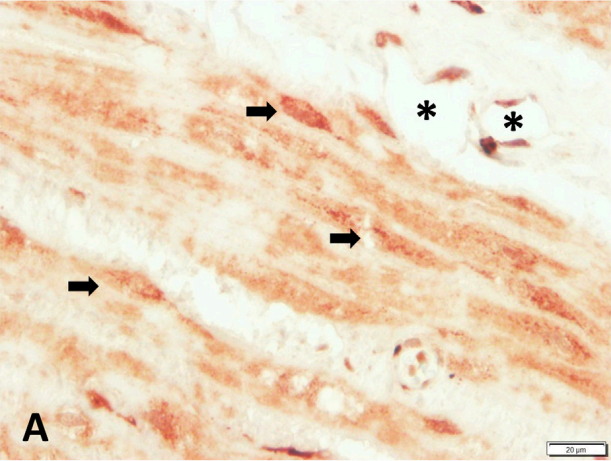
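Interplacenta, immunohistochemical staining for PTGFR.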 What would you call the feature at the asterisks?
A: Blood vessels.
